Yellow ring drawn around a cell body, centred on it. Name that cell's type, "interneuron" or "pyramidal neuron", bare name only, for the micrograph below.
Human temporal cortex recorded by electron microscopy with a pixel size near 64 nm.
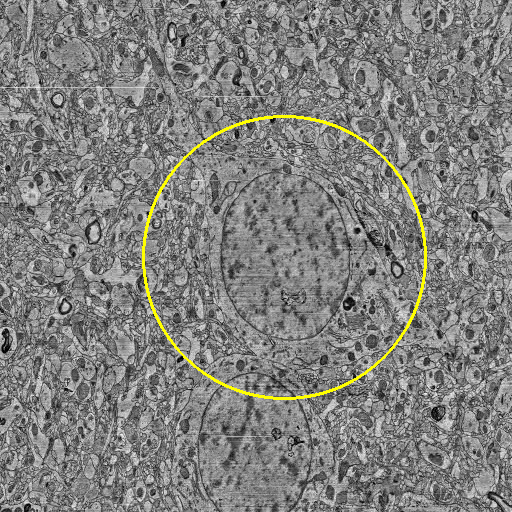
pyramidal neuron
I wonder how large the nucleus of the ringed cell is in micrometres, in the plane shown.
The ringed cell's nucleus measures approximately 11 by 8 micrometres in this plane.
